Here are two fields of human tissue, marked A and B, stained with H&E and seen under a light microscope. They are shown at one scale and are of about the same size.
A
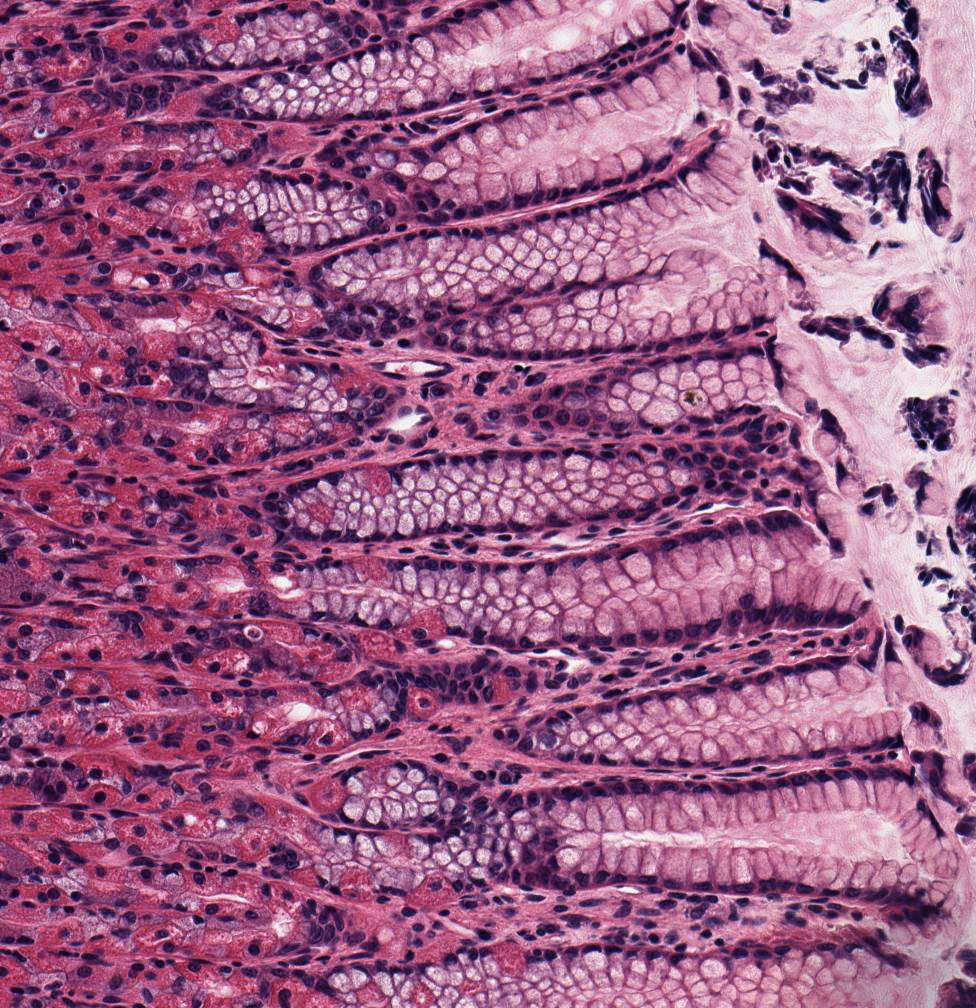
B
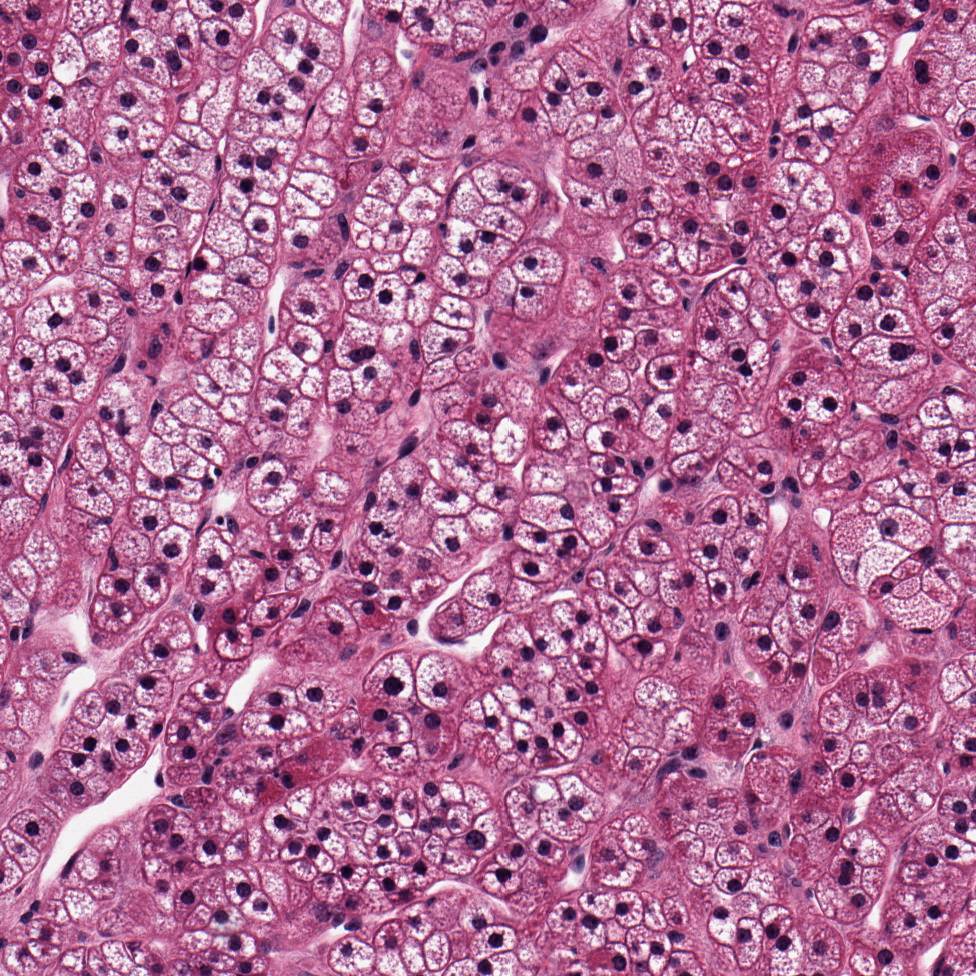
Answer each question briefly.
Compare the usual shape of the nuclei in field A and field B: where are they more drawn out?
A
